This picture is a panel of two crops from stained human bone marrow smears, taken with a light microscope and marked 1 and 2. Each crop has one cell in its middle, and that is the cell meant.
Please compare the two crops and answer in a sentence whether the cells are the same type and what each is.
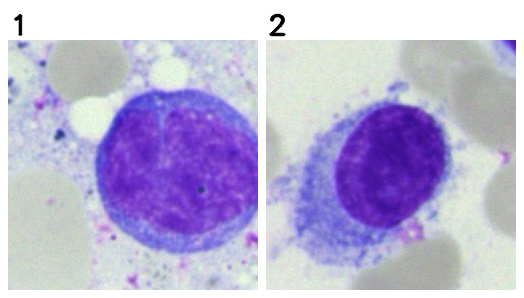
No, the cell that crop 1 shows is a monocyte, and the one crop 2 shows is a hairy cell.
